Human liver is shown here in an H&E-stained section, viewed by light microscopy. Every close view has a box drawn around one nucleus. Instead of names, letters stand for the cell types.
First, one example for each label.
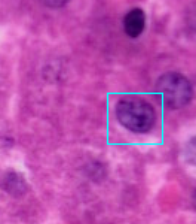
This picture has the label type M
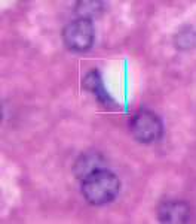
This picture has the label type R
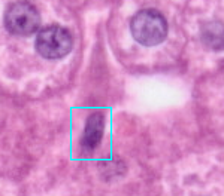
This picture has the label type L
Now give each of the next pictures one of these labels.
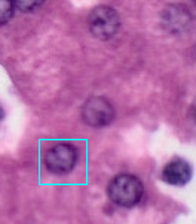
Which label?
type M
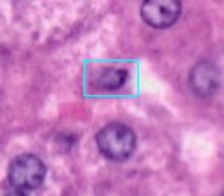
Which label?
type L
